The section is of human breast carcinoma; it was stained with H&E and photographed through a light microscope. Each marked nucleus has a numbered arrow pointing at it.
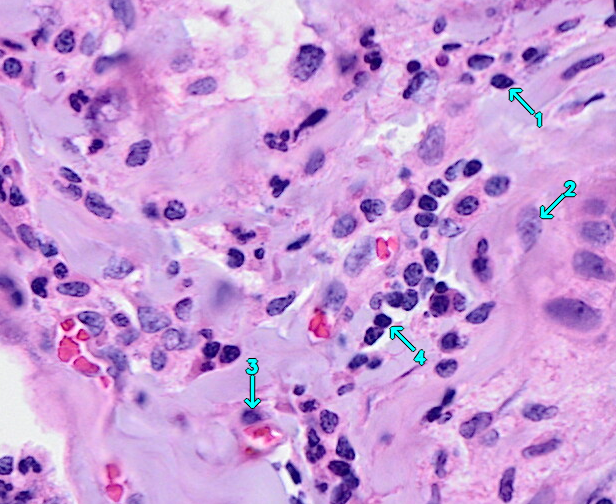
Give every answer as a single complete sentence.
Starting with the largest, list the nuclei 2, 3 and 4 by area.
By area, largest first, they run 2, 3, 4.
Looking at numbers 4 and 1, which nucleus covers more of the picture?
The larger nucleus is 1, at roughly 1.5 times the area of 4.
